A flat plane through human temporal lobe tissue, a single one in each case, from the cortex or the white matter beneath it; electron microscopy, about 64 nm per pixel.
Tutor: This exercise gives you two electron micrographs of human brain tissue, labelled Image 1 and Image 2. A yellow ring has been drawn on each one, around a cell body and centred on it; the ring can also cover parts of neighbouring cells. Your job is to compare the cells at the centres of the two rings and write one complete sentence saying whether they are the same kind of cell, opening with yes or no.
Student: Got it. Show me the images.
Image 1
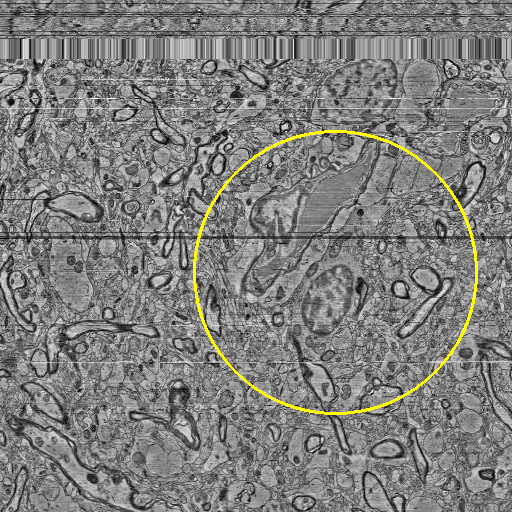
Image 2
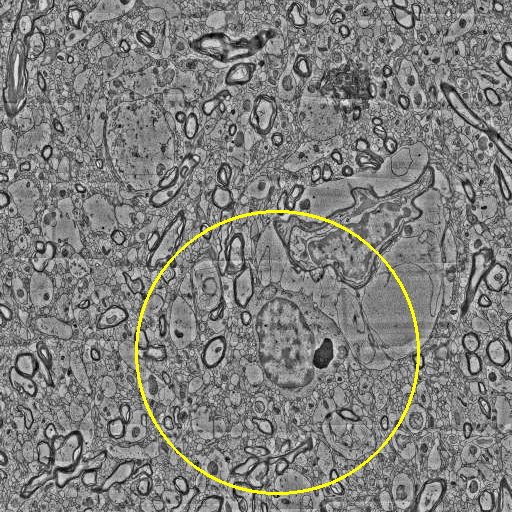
Yes, the two cells belong to the same kind.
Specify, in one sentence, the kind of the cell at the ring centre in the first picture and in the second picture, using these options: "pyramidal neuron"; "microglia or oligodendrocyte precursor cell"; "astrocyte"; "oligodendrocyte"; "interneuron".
The second cell is an oligodendrocyte, just as the first is.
